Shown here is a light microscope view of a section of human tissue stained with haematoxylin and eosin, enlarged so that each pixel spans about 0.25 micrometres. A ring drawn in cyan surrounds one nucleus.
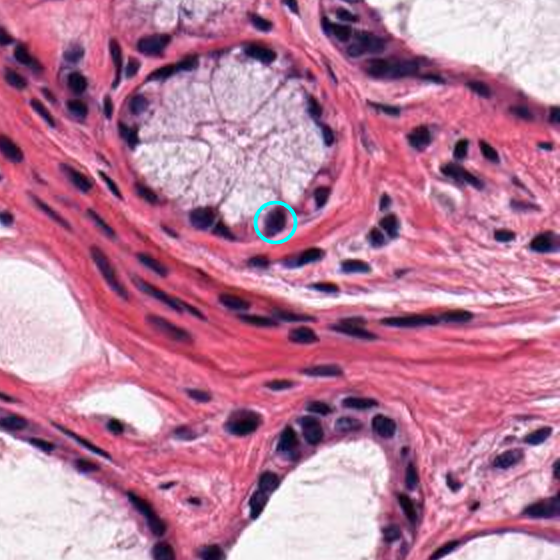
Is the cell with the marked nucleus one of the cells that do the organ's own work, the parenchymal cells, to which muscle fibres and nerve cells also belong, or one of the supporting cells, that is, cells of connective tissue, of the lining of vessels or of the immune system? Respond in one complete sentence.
The parenchymal cell containing the marked nucleus is a mucous gland cell.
